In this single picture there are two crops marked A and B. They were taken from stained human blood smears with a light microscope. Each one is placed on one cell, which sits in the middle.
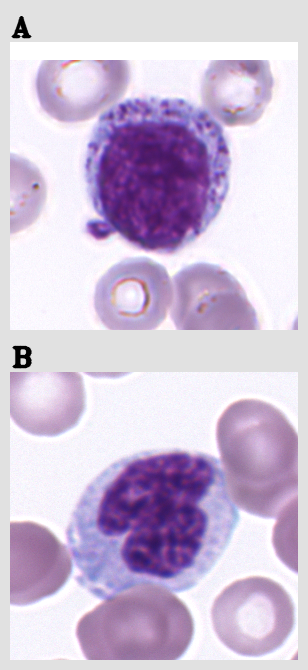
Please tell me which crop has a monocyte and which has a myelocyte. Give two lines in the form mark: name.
A: myelocyte
B: monocyte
